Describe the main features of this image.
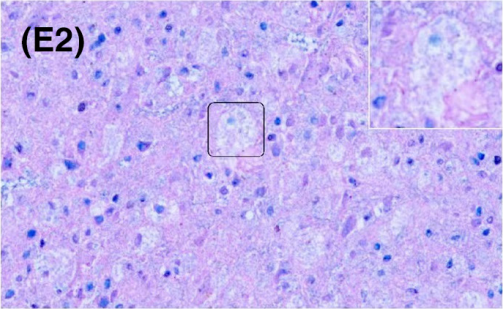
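This brain white matter lesion contains scattered macrophages lying in a pink, loosely textured background. The macrophages are large rounded cells with abundant pale, foamy and vacuolated cytoplasm, and some hold pale blue granular material within them. Small dark blue nuclei of other cells are dispersed between them.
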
